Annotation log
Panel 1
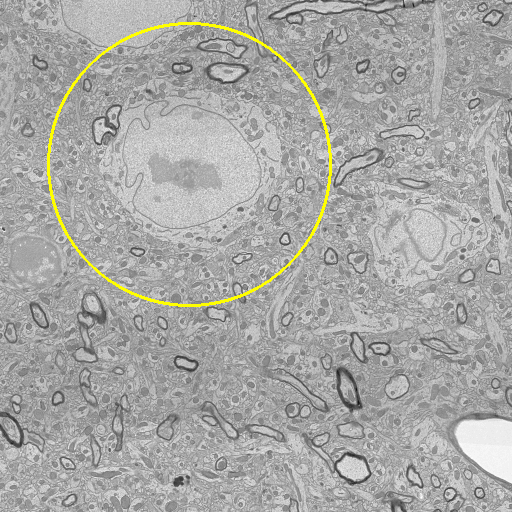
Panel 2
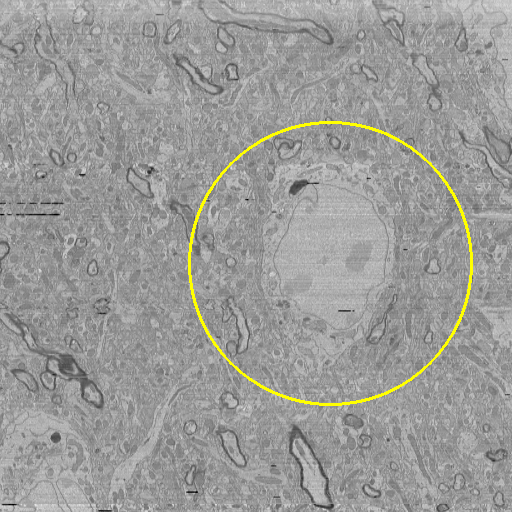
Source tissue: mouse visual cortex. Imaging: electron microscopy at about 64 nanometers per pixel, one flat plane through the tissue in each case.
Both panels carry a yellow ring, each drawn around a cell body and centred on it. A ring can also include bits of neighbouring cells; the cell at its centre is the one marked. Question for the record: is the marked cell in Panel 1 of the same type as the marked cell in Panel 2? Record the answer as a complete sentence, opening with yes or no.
Yes, the marked cells in Panel 1 and Panel 2 are of the same type.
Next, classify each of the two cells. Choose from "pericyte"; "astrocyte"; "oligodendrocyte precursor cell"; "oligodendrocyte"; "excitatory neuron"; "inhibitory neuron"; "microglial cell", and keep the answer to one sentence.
In both pictures the ring is centred on an excitatory neuron.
